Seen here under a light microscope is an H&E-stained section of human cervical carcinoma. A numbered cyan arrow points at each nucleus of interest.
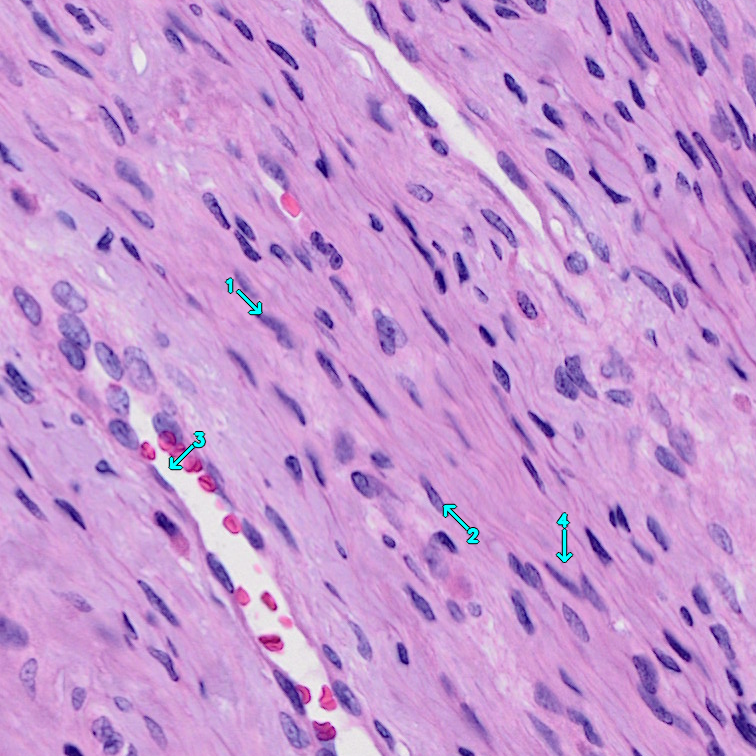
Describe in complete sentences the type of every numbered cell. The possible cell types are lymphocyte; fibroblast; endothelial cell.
Cell 1 is a fibroblast, cell 2 is a fibroblast, cell 3 is an endothelial cell and cell 4 is a fibroblast.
